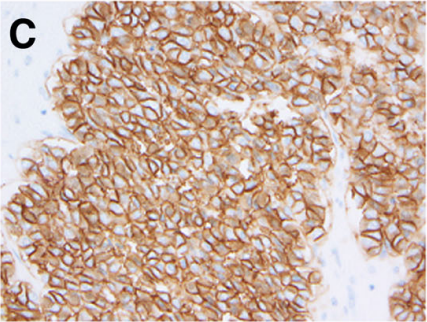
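Tumor cells in solid nests, nearly all showing brown staining outlining the cell borders, producing a crisp honeycomb-like membranous pattern. The cells are closely packed, polygonal to rounded, with pale blue nuclei that are mostly unstained in the centre of each outlined cell. The nests are bordered by pale, loose stroma with a few scattered unstained spindle-shaped nuclei at the right edge. Staining is strong and uniform across the nest, with very few cells lacking the brown outline.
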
